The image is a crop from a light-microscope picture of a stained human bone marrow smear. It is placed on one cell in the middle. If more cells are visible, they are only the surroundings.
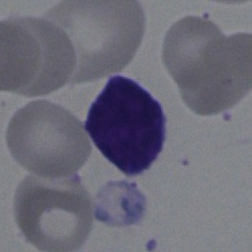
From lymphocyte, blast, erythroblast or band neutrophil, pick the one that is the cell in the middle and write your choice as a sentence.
The cell under consideration, at the middle of the crop, is a lymphocyte.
